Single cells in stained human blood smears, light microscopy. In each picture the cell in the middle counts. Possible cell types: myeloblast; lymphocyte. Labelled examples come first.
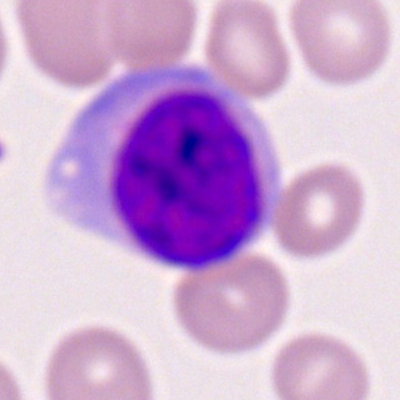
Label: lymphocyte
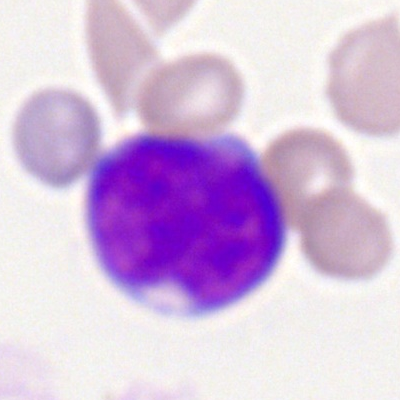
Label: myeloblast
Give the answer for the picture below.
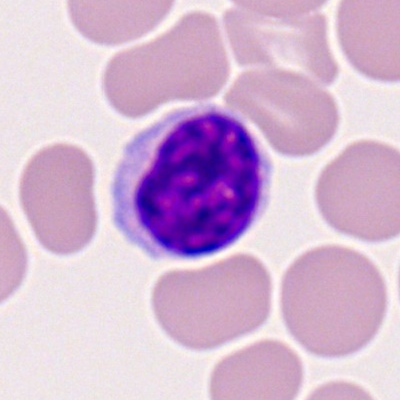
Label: lymphocyte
